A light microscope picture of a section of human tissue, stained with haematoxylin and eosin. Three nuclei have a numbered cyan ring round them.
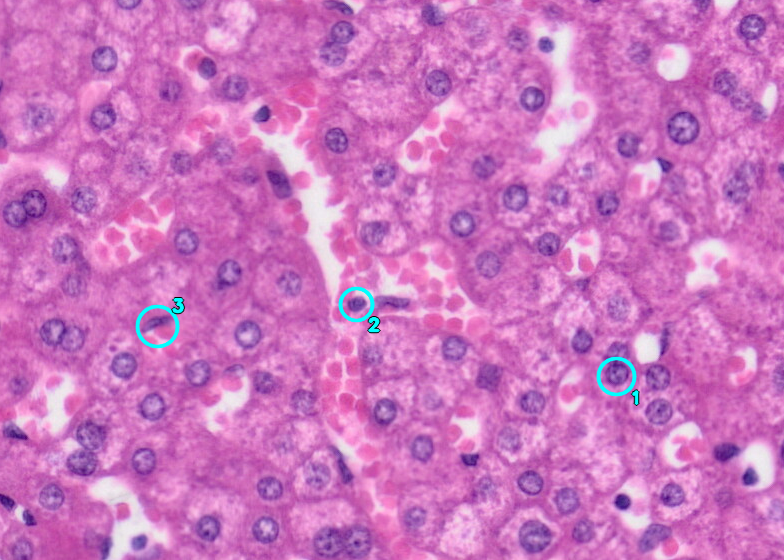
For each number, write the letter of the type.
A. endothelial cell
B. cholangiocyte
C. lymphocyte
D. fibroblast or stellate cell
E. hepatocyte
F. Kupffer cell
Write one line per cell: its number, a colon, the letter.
1: E
2: C
3: A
